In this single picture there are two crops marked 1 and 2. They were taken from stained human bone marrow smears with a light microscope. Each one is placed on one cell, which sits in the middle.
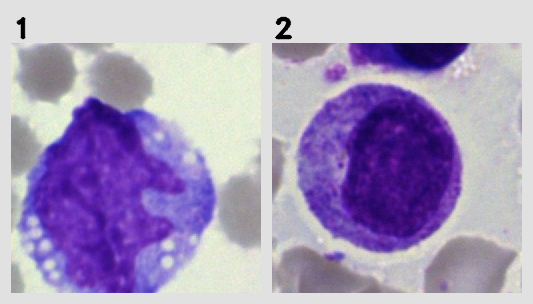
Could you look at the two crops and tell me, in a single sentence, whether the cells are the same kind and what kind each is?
No, crop 1 contains a monocyte; a myelocyte is what crop 2 contains.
